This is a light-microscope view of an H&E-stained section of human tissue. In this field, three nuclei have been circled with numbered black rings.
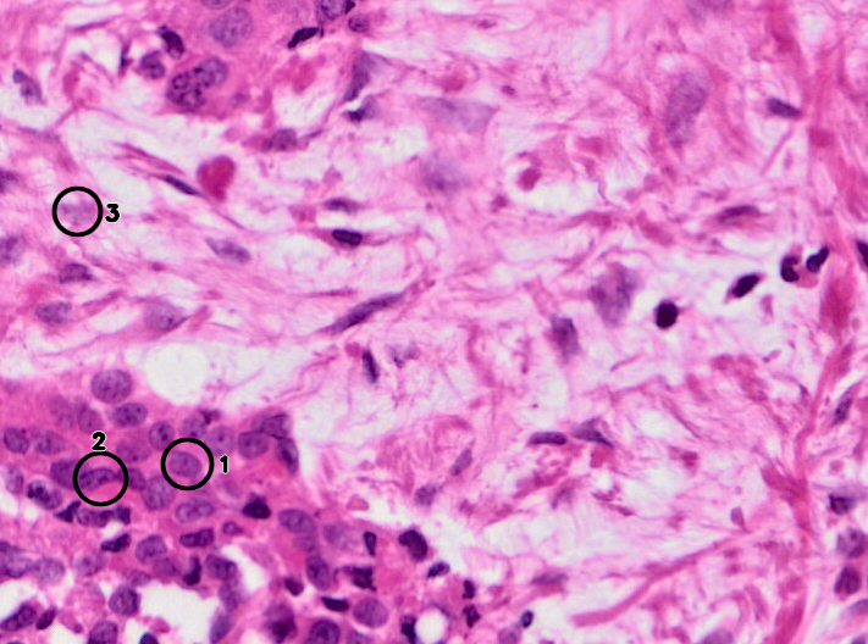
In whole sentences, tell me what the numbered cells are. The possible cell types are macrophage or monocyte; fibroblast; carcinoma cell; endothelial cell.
Cell 1 is a carcinoma cell, cell 2 is a carcinoma cell and cell 3 is a fibroblast.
